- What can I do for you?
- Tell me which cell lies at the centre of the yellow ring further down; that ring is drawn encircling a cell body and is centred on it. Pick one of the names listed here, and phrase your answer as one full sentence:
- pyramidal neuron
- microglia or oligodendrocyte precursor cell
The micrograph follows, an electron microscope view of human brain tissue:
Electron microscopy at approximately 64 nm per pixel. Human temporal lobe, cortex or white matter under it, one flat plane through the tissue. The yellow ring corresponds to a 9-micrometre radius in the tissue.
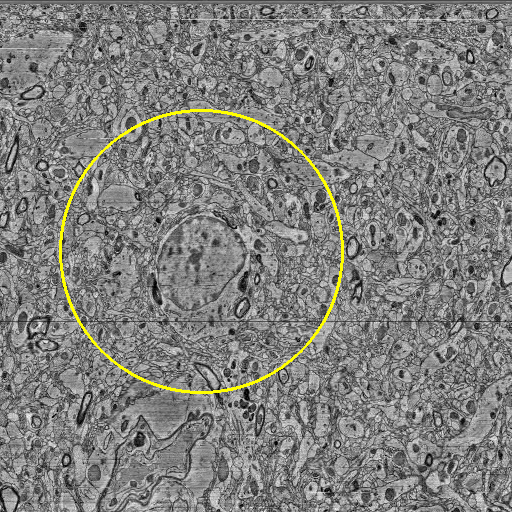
The cell whose body lies at the centre of the yellow ring is a microglial cell or oligodendrocyte precursor cell.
